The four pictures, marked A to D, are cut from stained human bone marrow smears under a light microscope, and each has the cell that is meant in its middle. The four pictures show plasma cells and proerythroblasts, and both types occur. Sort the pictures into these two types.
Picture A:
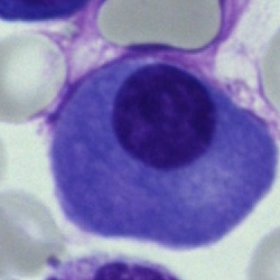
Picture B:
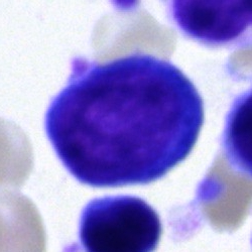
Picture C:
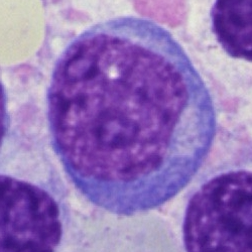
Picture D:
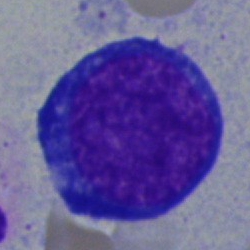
A: plasma cell
B: proerythroblast
C: proerythroblast
D: proerythroblast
